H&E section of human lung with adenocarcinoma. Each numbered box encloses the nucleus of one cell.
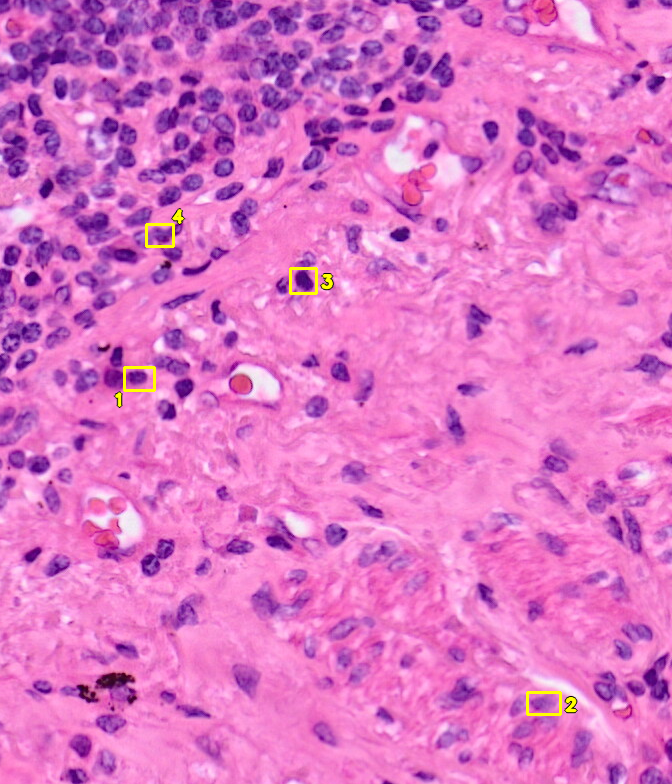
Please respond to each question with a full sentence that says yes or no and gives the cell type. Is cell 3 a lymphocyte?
Yes, the numbered cell 3 is a lymphocyte.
